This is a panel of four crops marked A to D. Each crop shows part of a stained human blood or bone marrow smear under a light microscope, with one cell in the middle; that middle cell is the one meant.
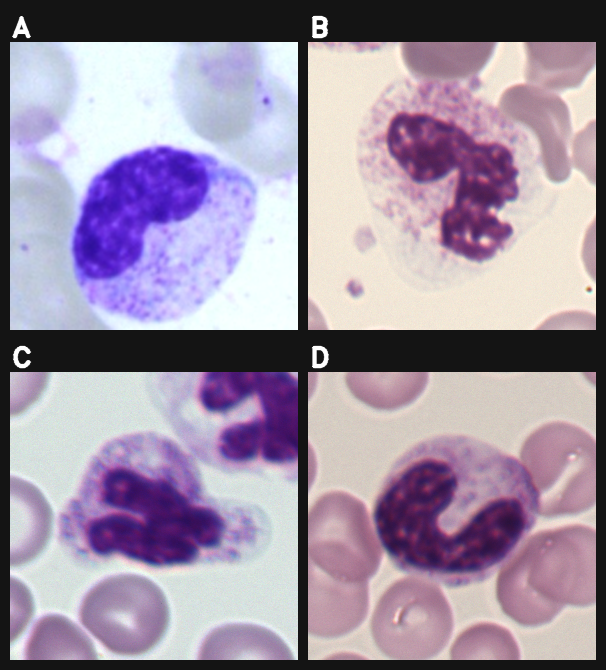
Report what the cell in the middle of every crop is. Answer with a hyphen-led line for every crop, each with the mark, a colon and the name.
- A: band neutrophil
- B: band neutrophil
- C: segmented neutrophil
- D: band neutrophil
